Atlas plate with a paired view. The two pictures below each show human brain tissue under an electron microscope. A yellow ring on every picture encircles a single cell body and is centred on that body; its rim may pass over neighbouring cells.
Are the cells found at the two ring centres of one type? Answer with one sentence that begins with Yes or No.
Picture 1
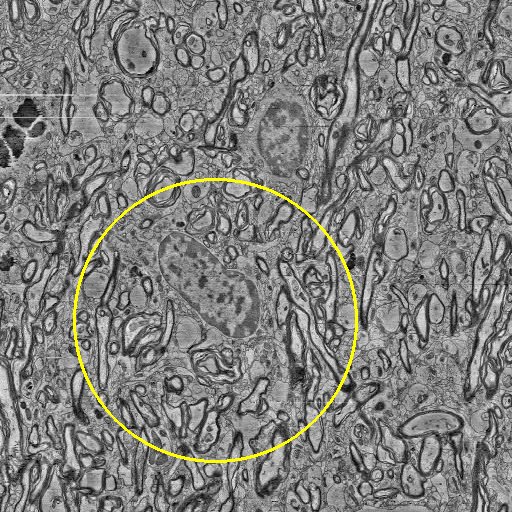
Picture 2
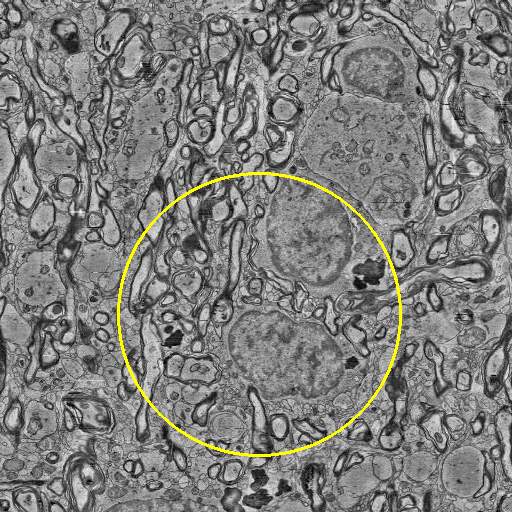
No, the two cells lying at the centres of the rings are of two types.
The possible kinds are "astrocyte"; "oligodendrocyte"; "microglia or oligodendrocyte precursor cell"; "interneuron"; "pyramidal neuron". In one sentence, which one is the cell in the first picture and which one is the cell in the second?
The cell ringed in the second picture is an oligodendrocyte, whereas the one ringed in the first is a microglial cell or oligodendrocyte precursor cell.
